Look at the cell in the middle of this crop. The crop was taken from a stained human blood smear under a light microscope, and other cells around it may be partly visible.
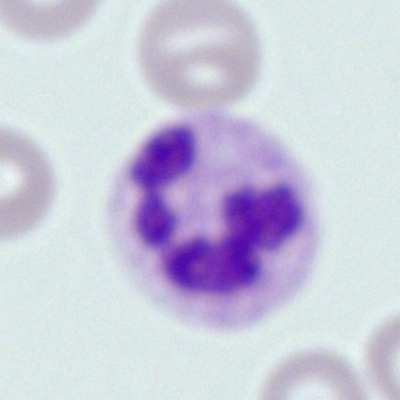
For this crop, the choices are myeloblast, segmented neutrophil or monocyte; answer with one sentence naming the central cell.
The cell found in the middle of this crop is a segmented neutrophil.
